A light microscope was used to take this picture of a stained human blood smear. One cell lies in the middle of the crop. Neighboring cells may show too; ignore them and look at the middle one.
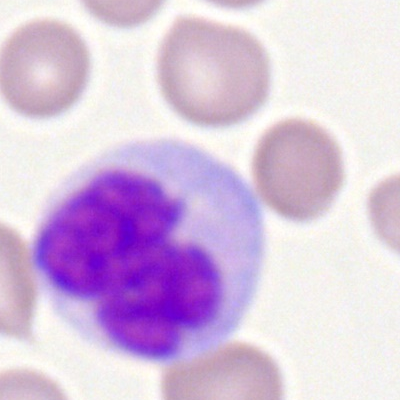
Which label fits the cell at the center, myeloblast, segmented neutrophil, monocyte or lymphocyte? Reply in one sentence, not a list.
The cell shown in the center of this light-microscope crop is a monocyte.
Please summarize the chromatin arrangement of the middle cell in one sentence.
Its chromatin is clumped in a coarse pattern.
